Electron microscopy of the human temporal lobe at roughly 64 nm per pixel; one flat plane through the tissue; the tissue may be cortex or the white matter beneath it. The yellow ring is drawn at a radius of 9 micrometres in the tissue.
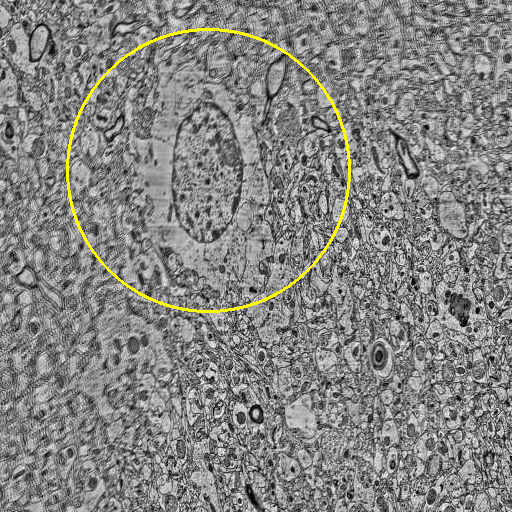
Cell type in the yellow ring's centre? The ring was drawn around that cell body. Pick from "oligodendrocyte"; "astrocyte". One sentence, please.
The ringed cell body is that of an astrocyte.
